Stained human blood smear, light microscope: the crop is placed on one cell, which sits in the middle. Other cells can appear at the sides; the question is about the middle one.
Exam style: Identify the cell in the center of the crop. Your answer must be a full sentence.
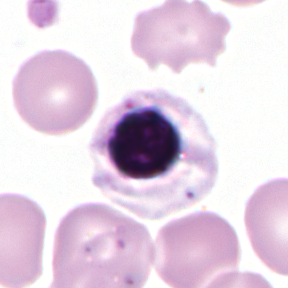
The cell that lies at the centre of the crop is a normoblast.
